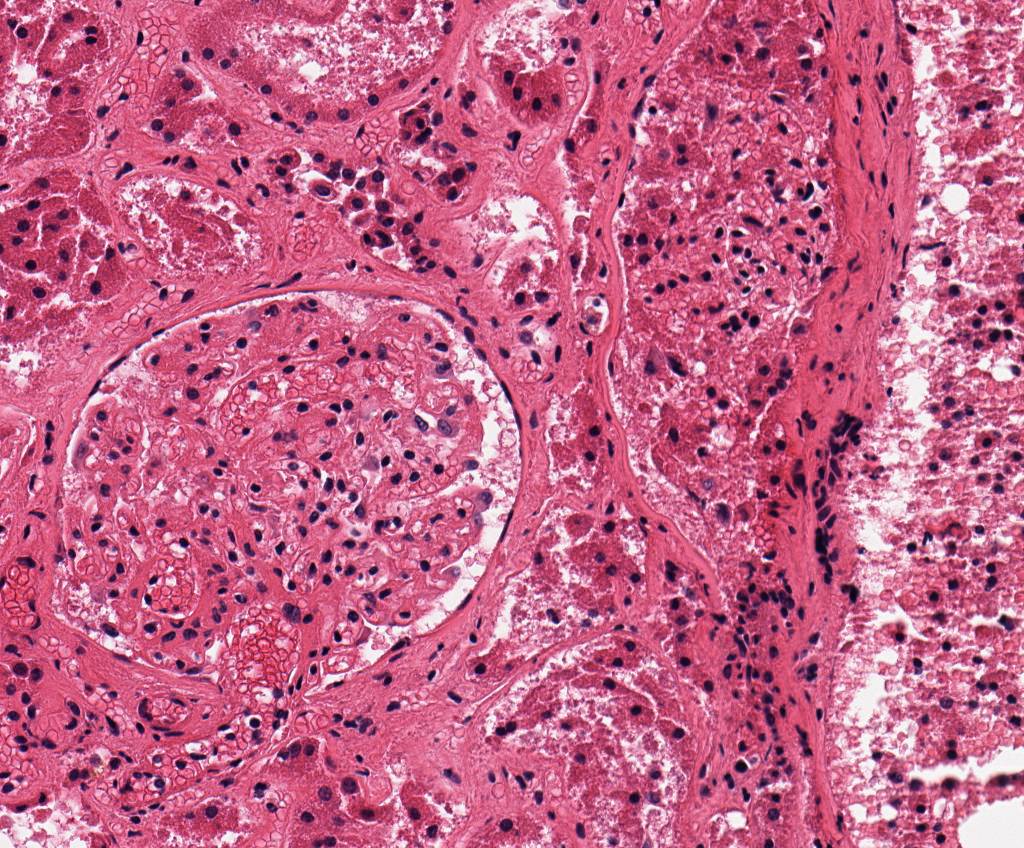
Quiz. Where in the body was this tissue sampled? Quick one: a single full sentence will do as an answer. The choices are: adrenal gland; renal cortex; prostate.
Tissue for this section was sampled from the renal cortex.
